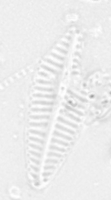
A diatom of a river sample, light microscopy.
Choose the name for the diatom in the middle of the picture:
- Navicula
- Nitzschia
Navicula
